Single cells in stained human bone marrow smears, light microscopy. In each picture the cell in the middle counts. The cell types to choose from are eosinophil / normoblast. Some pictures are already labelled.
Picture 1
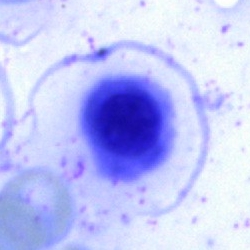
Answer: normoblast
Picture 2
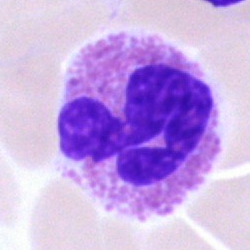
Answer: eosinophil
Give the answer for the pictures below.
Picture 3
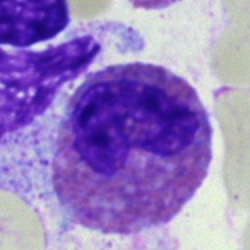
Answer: eosinophil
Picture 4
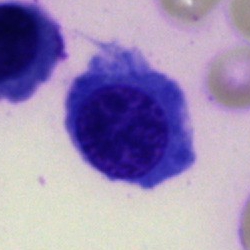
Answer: normoblast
